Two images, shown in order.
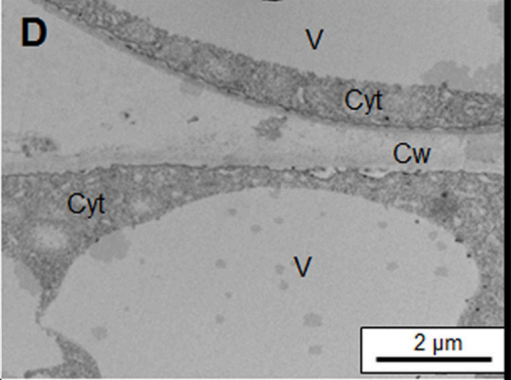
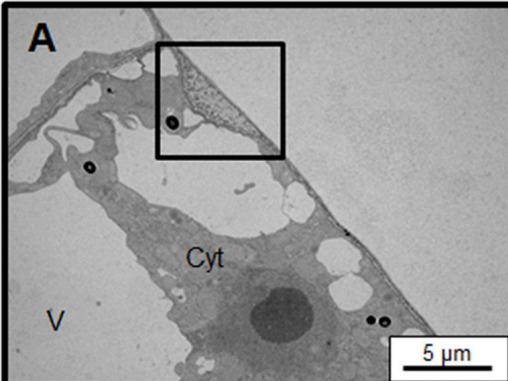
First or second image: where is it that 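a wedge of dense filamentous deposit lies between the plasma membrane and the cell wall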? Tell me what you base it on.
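First image: the cytoplasm lies smoothly against the cell wall with no deposit between them. Second image: a triangular pocket of granular, filamentous material sits between the cytoplasm and the wall. On this evidence: the second image.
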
